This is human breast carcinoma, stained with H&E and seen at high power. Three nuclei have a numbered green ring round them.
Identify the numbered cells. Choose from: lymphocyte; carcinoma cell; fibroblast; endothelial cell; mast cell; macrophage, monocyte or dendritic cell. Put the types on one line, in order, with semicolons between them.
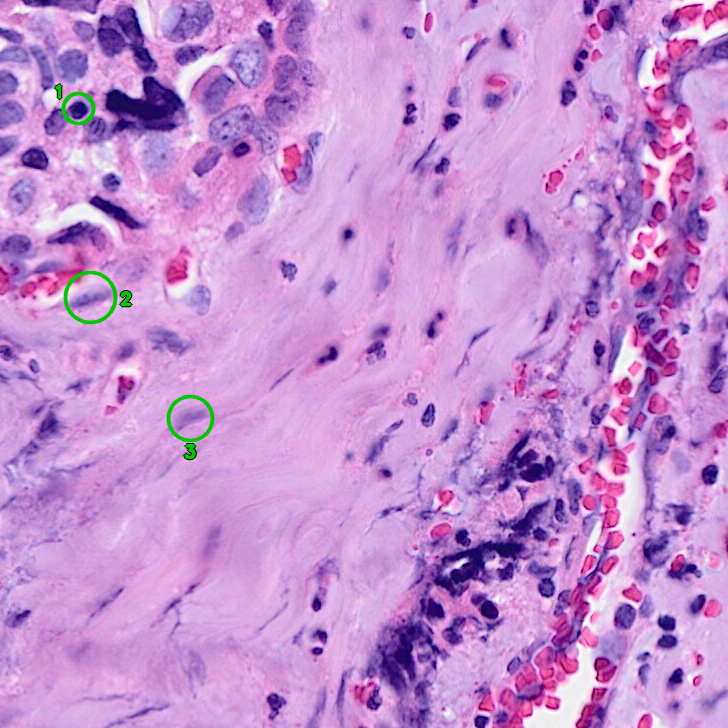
lymphocyte; endothelial cell; fibroblast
